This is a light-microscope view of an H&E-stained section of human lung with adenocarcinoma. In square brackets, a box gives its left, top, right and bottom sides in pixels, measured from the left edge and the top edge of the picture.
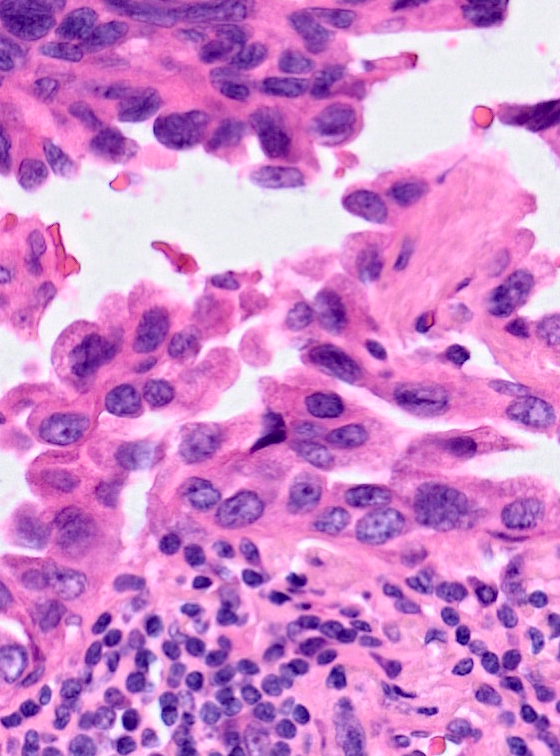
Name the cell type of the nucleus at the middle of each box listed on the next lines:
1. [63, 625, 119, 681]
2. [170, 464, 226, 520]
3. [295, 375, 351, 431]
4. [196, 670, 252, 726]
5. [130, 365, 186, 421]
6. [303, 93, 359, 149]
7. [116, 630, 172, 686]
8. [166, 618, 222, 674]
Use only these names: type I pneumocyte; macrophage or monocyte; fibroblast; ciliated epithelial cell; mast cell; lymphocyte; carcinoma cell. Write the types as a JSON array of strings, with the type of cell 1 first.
["lymphocyte", "carcinoma cell", "carcinoma cell", "lymphocyte", "carcinoma cell", "carcinoma cell", "lymphocyte", "lymphocyte"]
